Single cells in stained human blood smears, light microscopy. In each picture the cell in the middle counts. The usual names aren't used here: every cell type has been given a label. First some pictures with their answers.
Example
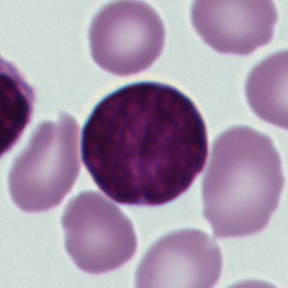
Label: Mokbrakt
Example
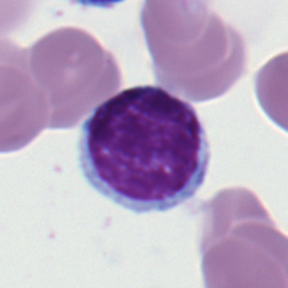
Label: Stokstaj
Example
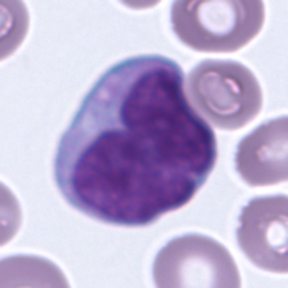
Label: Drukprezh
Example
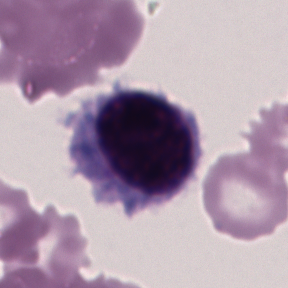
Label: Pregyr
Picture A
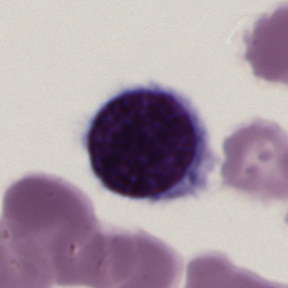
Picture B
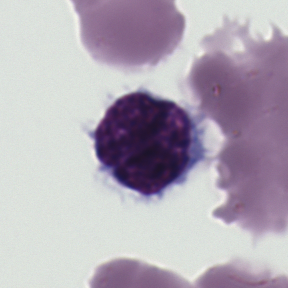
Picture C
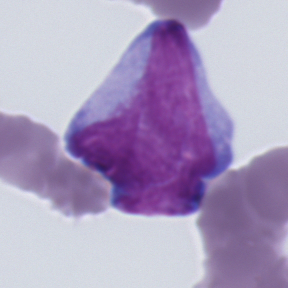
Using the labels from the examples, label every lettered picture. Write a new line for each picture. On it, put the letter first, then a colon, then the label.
A: Pregyr
B: Pregyr
C: Mokbrakt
